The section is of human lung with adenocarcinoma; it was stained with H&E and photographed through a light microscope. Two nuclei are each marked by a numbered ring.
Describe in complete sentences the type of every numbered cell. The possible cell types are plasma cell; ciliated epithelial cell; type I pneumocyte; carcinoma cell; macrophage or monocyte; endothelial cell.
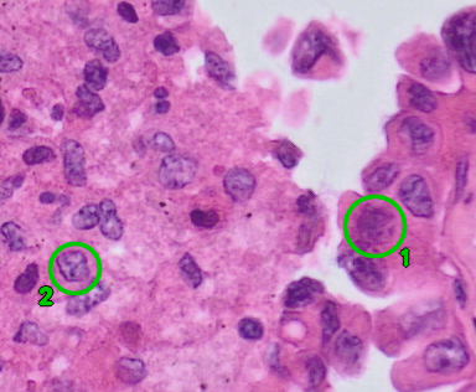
Cell 1 is a carcinoma cell. Cell 2 is a macrophage or monocyte.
